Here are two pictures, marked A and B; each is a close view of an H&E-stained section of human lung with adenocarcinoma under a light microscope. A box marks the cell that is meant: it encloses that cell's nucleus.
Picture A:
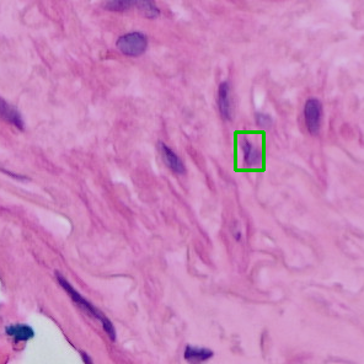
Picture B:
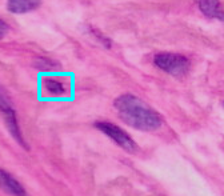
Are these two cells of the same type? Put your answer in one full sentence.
Yes, the two pictures both show “smooth muscle cells or pericytes”.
